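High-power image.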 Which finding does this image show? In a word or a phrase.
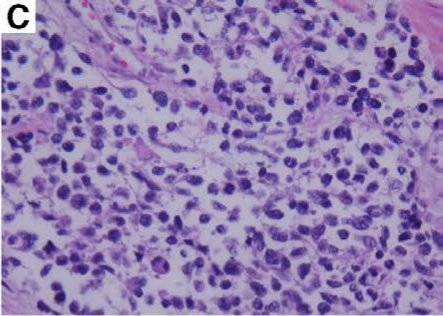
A: sheets of medium-sized tumor cells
